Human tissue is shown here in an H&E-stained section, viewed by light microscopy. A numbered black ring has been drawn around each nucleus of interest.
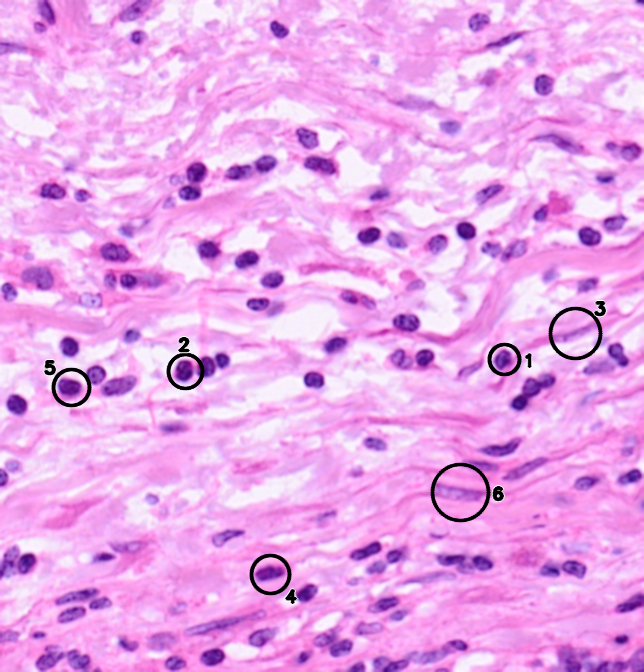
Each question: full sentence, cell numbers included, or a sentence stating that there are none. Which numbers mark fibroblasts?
The cells the numbers 3 and 6 point to are fibroblasts.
